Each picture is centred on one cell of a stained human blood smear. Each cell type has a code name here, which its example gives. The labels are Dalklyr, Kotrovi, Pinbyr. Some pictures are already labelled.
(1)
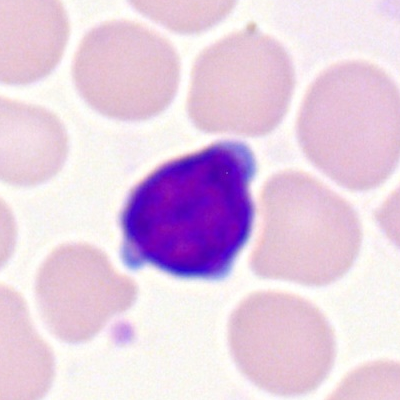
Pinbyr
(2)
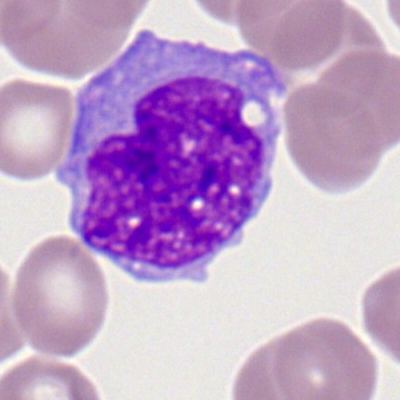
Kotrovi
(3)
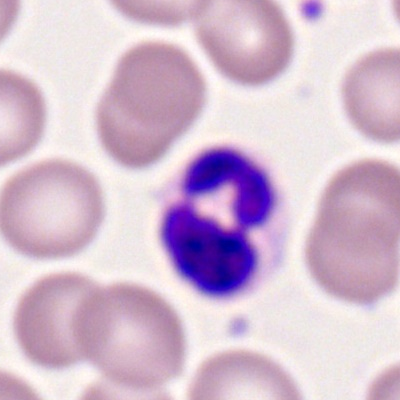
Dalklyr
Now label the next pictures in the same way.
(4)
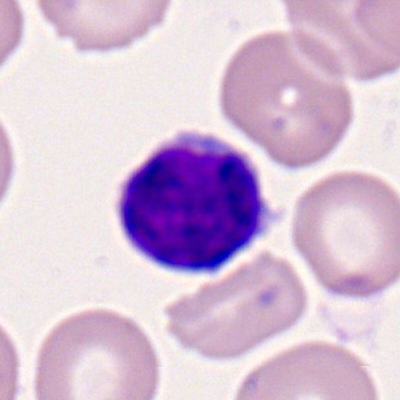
Pinbyr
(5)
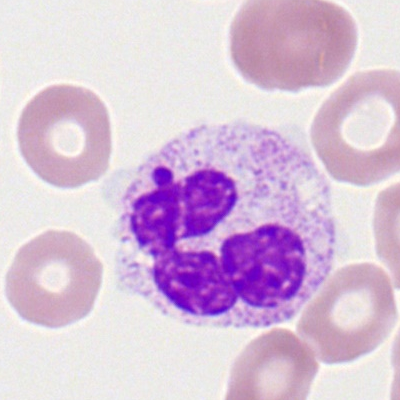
Dalklyr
